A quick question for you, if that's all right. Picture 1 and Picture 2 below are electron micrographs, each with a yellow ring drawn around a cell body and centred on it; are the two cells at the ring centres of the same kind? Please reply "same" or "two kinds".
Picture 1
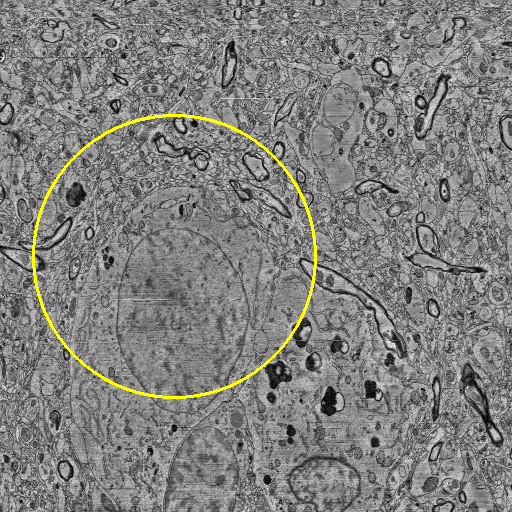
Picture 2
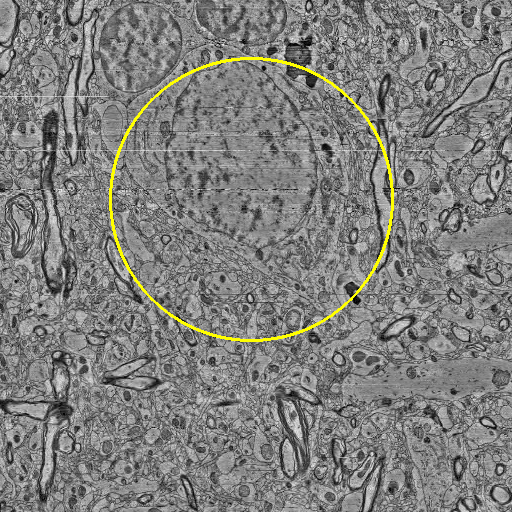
same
